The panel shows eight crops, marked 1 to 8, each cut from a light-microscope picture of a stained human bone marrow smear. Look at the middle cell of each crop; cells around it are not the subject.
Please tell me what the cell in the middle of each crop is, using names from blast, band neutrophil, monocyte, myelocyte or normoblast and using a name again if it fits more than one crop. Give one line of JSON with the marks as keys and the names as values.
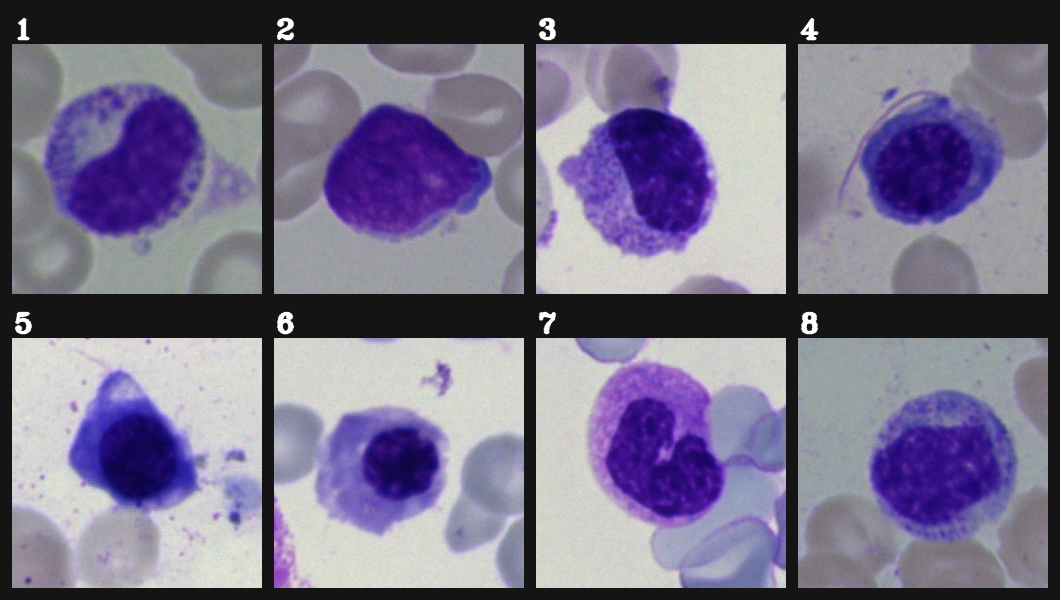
{"1": "myelocyte", "2": "blast", "3": "myelocyte", "4": "normoblast", "5": "normoblast", "6": "normoblast", "7": "band neutrophil", "8": "myelocyte"}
